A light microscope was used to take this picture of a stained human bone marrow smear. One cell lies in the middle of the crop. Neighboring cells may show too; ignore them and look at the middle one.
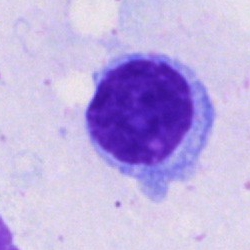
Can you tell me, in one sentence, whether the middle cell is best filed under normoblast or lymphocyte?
This crop has a lymphocyte at its centre.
